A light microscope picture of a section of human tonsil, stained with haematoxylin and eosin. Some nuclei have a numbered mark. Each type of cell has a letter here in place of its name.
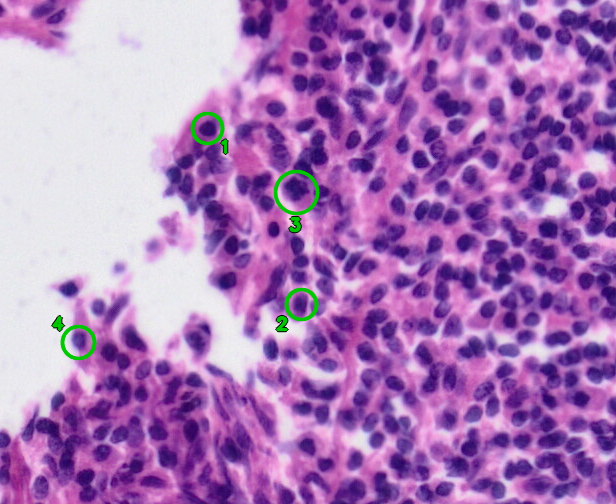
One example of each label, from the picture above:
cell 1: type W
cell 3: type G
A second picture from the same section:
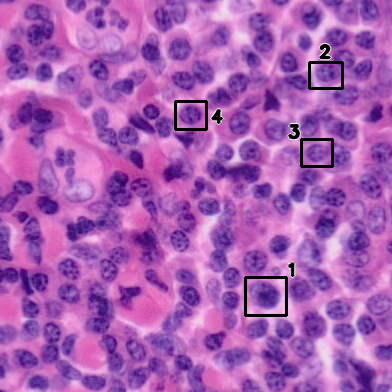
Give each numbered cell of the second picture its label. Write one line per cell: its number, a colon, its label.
1: type G
2: type W
3: type W
4: type W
